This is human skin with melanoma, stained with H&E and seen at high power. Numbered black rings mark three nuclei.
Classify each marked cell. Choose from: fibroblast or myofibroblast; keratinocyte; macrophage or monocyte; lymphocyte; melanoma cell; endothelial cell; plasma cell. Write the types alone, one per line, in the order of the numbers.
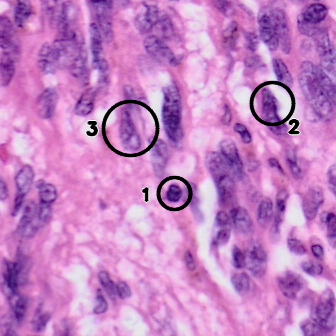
lymphocyte
melanoma cell
melanoma cell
